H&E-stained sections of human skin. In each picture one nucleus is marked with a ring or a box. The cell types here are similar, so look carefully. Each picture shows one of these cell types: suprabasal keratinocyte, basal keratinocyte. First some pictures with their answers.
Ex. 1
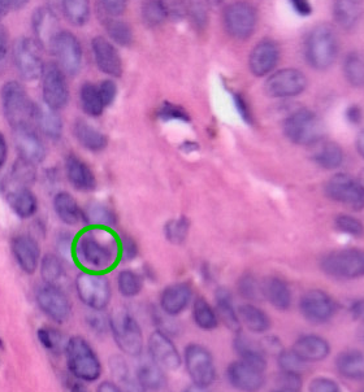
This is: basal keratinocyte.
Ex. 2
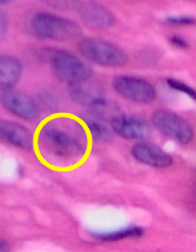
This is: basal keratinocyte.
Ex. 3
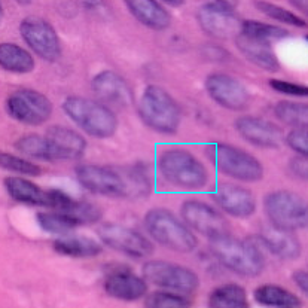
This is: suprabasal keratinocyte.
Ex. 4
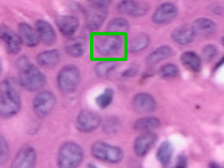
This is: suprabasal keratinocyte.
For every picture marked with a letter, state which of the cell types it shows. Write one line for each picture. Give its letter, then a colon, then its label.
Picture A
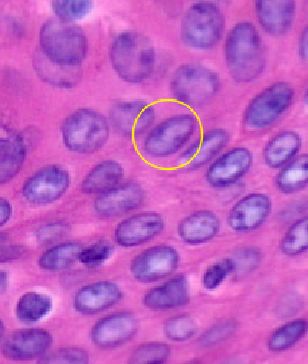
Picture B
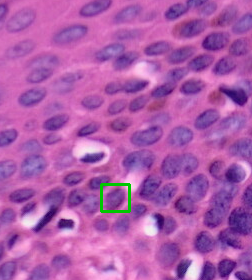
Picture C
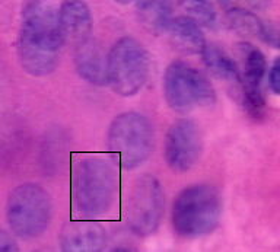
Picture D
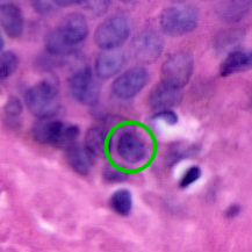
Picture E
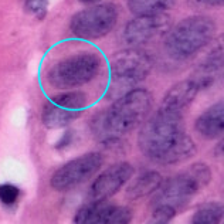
A: suprabasal keratinocyte.
B: basal keratinocyte.
C: suprabasal keratinocyte.
D: basal keratinocyte.
E: basal keratinocyte.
